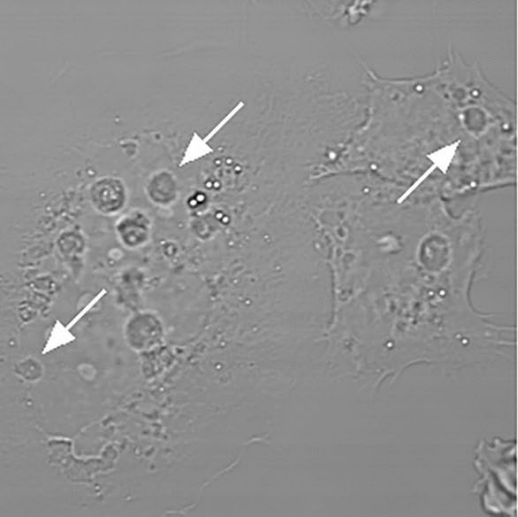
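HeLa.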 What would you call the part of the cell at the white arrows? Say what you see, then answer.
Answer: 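The arrows point to round, sharply bounded compartments inside the cytoplasm of flat cells. The compartments are several micrometres across and lie among many smaller granules. Several similar round compartments cluster near the middle of the left cell. On this evidence: vacuoles.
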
